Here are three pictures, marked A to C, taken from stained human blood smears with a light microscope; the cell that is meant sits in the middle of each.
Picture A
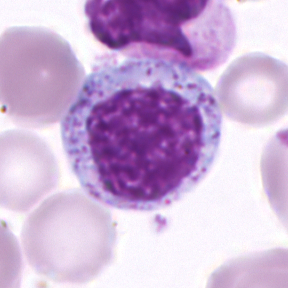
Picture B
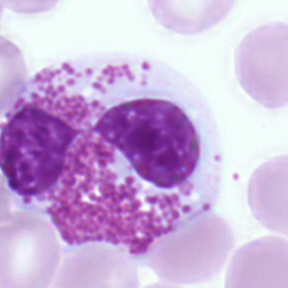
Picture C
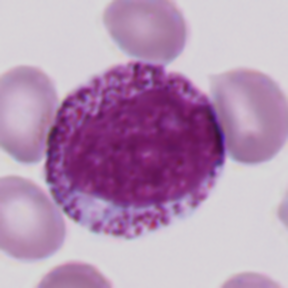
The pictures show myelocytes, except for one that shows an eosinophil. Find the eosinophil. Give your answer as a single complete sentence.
Picture B is the one that shows the eosinophil.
